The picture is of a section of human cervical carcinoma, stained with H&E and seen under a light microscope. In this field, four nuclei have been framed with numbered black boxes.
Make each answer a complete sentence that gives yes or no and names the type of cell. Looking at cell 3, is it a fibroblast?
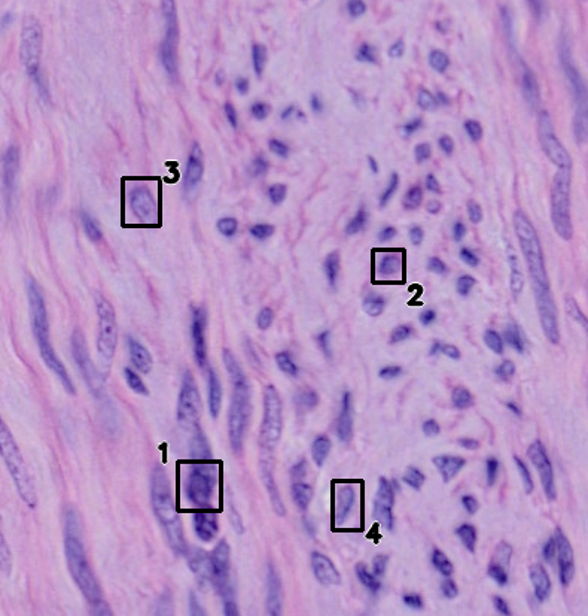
No, cell 3, which is a smooth muscle cell, is not a fibroblast.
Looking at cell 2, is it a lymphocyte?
No, calling cell 2 a lymphocyte is incorrect; it is a smooth muscle cell.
